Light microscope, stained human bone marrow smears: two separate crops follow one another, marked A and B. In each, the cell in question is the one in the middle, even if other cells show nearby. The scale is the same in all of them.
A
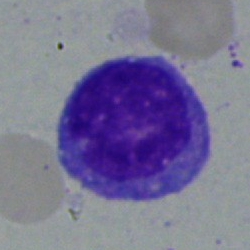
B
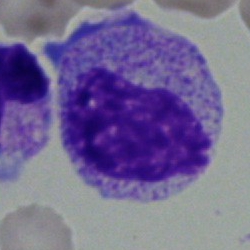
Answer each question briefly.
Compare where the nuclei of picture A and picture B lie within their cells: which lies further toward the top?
A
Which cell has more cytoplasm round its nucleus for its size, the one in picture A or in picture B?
B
